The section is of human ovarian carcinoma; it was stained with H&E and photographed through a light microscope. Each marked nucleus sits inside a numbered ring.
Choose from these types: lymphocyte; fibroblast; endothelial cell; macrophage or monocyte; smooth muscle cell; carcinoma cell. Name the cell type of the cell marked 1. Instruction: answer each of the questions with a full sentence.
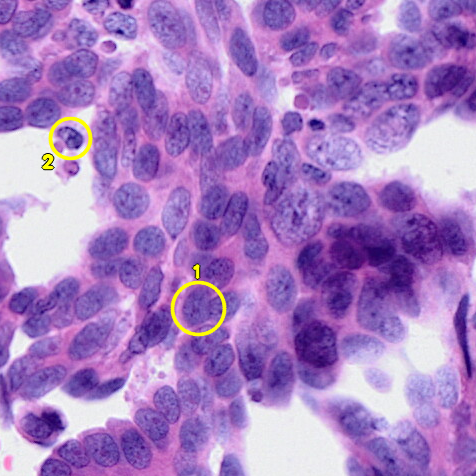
As for number 1, that cell is a carcinoma cell.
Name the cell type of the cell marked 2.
The cell referenced by the number 2 is a macrophage or monocyte in this field.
